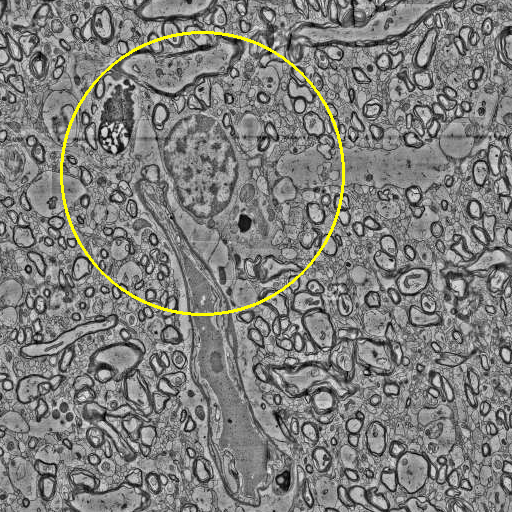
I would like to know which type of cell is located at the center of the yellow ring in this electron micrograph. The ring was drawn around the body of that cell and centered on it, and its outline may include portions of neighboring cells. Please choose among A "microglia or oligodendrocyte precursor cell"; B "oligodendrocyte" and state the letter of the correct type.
B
